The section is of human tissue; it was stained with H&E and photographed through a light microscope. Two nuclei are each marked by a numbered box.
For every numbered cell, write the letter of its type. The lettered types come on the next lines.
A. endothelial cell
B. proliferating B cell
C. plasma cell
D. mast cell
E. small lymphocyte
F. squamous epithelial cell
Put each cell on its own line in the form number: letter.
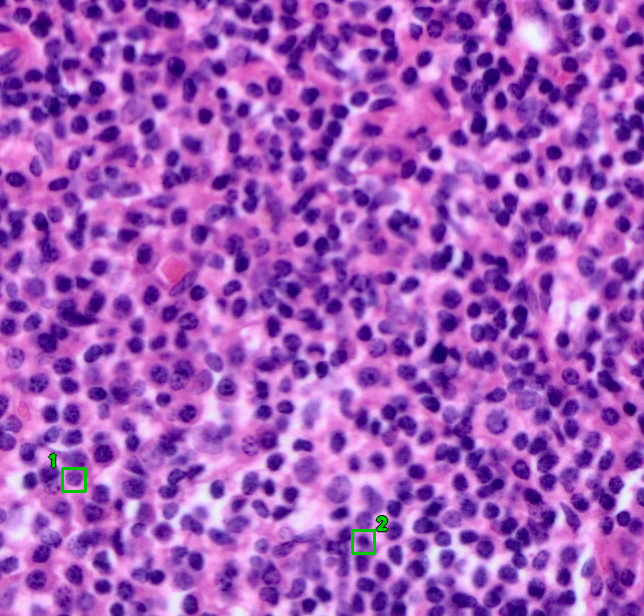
1: C
2: E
